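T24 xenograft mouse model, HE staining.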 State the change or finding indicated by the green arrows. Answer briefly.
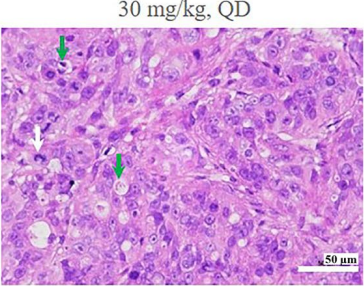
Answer: Necrotic and apoptotic tumor cells.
